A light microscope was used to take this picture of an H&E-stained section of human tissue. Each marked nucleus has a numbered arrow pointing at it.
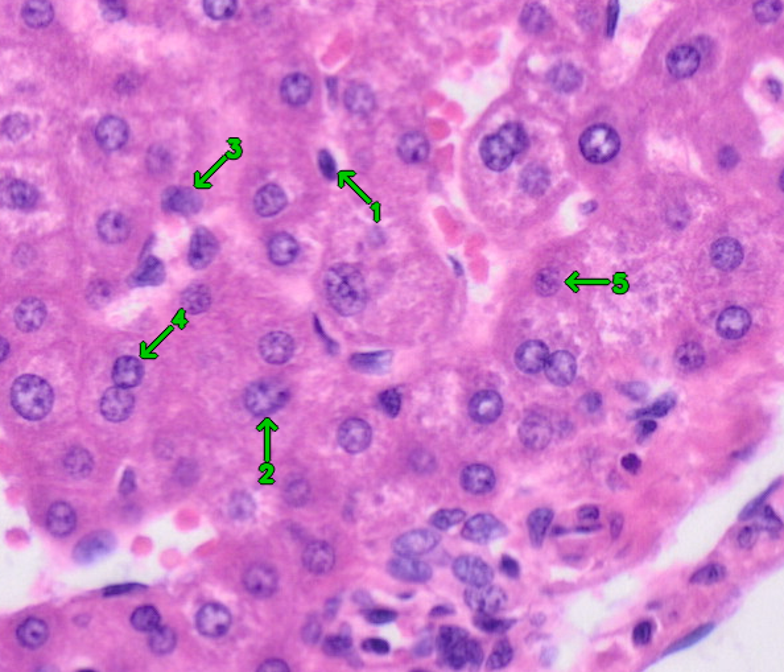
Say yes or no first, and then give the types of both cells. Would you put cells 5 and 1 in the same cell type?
No, the cell numbered 5 is a hepatocyte, and the cell numbered 1 is a lymphocyte.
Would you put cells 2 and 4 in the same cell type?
Yes, just like cell 2, cell 4 is one of the hepatocytes.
